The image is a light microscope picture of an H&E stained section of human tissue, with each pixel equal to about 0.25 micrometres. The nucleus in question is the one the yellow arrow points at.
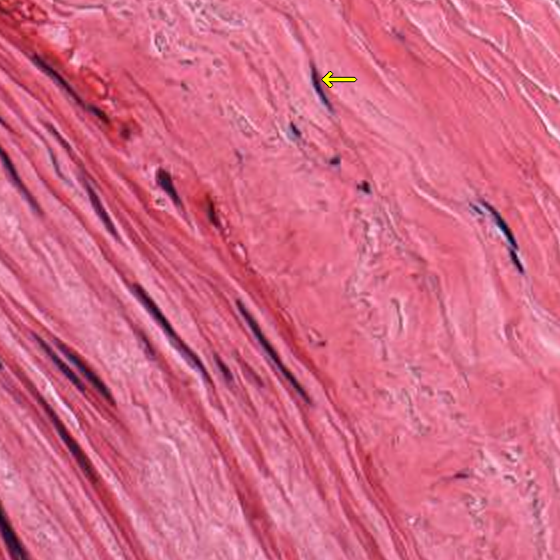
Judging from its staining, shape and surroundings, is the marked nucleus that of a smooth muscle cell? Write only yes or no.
no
